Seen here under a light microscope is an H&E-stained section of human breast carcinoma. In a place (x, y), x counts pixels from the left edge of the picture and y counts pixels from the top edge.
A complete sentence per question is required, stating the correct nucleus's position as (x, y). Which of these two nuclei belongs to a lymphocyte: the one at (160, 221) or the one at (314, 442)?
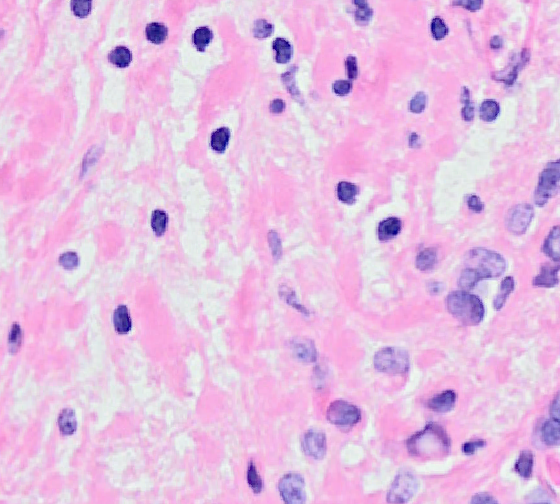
The nucleus of the pair that lies within a lymphocyte is at (160, 221).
